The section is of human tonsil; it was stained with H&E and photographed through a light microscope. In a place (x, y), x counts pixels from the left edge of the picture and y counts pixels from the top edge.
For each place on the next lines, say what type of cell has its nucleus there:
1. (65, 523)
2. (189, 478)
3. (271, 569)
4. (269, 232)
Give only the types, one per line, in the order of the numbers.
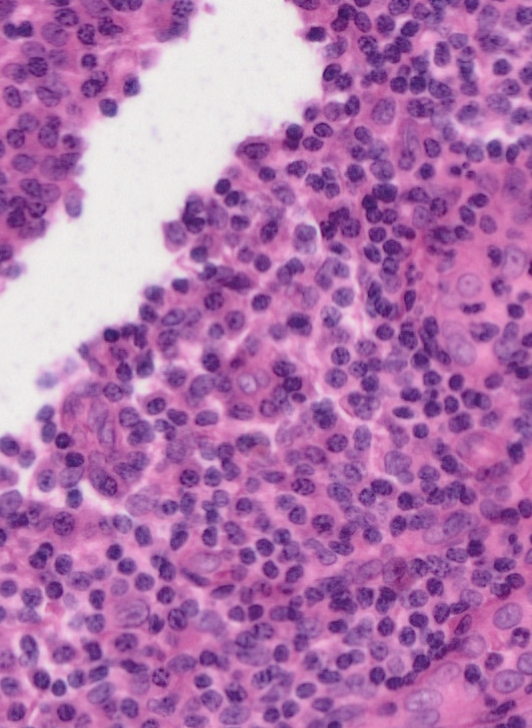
plasma cell
plasma cell
small lymphocyte
plasma cell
